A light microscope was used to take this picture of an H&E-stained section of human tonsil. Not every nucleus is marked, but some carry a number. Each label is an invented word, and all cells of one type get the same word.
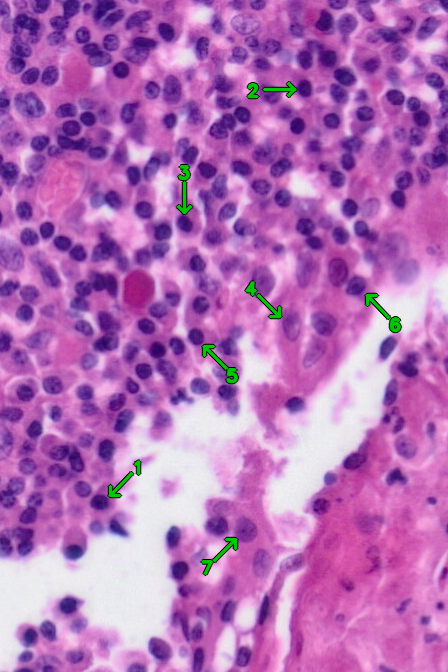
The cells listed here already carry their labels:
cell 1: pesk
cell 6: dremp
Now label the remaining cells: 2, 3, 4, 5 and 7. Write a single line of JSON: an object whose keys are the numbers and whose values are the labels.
{"2": "pesk", "3": "pesk", "4": "dremp", "5": "pesk", "7": "dremp"}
